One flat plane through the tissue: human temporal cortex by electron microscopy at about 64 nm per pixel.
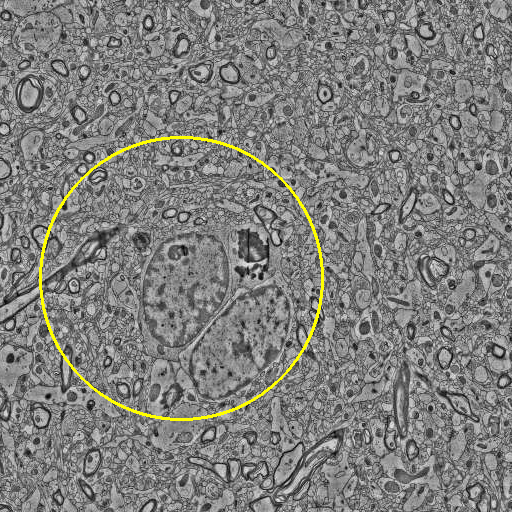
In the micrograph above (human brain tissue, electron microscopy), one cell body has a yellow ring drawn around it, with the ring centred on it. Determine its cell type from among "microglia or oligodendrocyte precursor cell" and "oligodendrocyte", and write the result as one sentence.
The cell whose body is ringed is an oligodendrocyte.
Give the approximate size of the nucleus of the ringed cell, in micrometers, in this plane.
In this plane, the nucleus of the cell at the centre of the ring measures about 8 by 5 micrometres.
